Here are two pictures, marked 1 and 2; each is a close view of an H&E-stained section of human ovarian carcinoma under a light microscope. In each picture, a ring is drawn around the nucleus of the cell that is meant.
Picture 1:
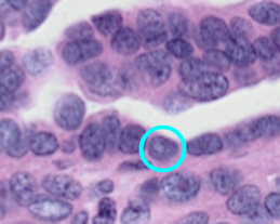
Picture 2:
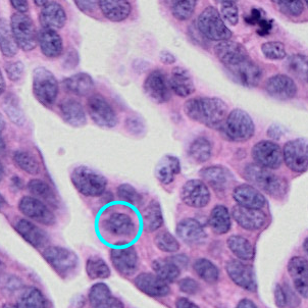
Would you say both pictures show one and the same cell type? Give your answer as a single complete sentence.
Yes, they are the same type: both are carcinoma cells.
